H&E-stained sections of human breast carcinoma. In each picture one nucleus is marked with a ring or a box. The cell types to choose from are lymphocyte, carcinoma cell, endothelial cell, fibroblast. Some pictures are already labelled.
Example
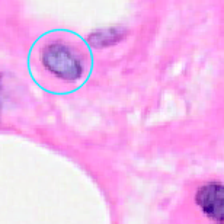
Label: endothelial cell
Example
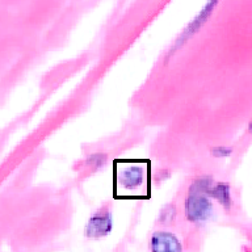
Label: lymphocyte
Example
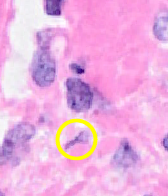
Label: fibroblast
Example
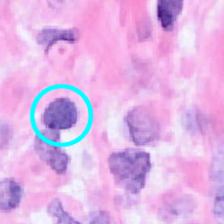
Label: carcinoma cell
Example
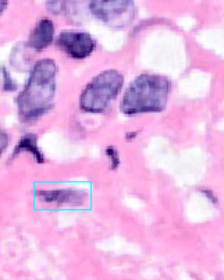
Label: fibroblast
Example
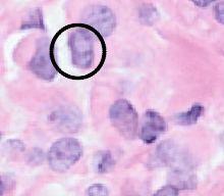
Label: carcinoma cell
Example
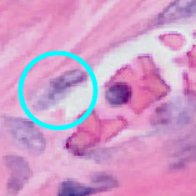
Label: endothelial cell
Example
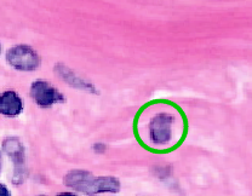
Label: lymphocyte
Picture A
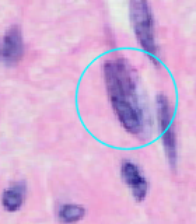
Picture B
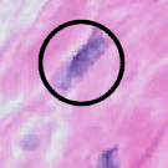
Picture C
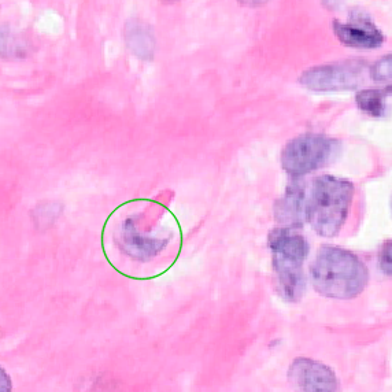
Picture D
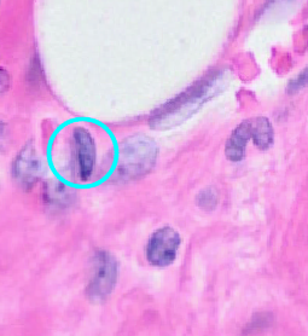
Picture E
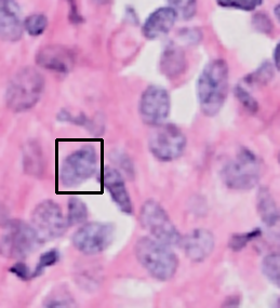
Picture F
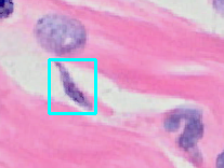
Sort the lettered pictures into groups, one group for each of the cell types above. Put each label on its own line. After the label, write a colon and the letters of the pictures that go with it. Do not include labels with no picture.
carcinoma cell: E
endothelial cell: A, C, D
fibroblast: B, F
